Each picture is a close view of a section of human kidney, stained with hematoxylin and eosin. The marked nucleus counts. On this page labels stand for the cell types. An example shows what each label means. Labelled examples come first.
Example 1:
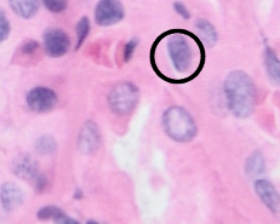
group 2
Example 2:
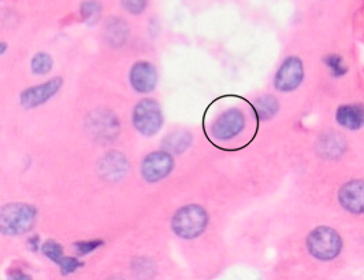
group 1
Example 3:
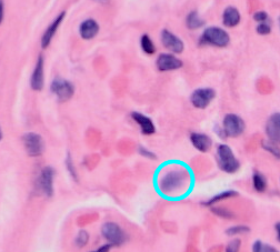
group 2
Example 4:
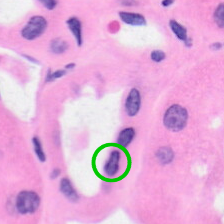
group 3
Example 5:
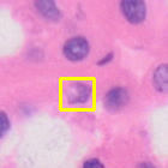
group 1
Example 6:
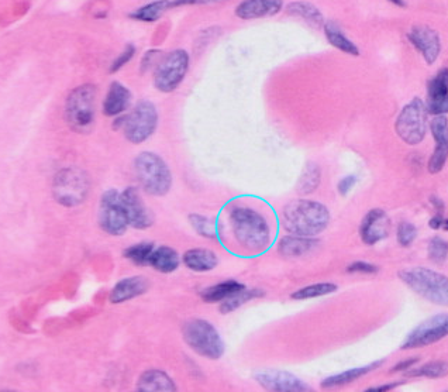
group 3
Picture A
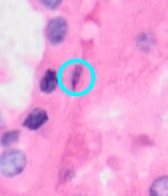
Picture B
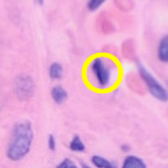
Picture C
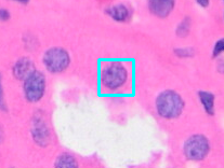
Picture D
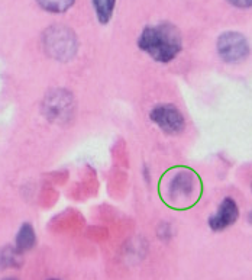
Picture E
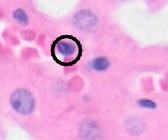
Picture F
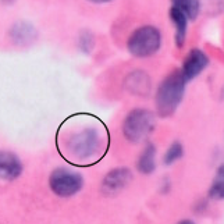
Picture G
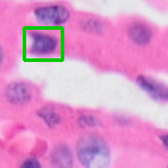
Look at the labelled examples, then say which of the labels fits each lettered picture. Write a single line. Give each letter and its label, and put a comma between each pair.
A group 2, B group 2, C group 1, D group 1, E group 2, F group 1, G group 1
